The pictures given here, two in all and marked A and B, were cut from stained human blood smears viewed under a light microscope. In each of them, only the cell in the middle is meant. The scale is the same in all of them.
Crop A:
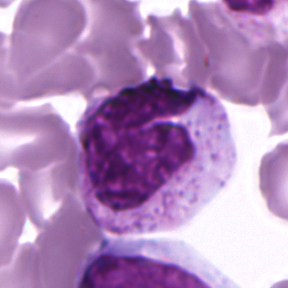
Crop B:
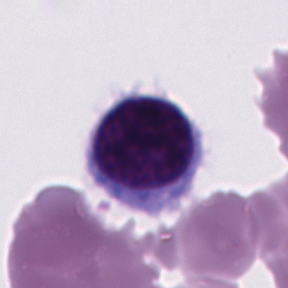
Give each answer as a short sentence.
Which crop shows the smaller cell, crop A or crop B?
Crop B holds the smaller cell, since the cell in crop A covers about 2 times as much area.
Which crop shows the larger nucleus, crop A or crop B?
It is the nucleus in crop A, about 1.5 times as large in area as the one in crop B.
